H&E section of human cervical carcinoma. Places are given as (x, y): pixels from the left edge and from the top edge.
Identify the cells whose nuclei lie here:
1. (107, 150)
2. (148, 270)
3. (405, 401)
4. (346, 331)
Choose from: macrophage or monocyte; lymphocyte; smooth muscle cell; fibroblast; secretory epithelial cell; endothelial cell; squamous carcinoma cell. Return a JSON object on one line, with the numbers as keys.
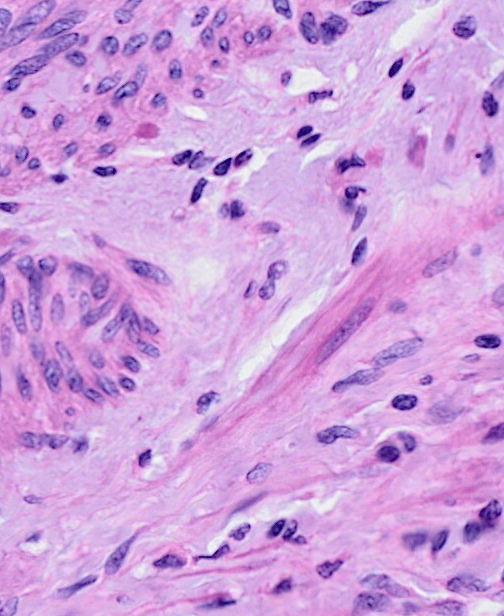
{"1": "smooth muscle cell", "2": "smooth muscle cell", "3": "lymphocyte", "4": "smooth muscle cell"}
